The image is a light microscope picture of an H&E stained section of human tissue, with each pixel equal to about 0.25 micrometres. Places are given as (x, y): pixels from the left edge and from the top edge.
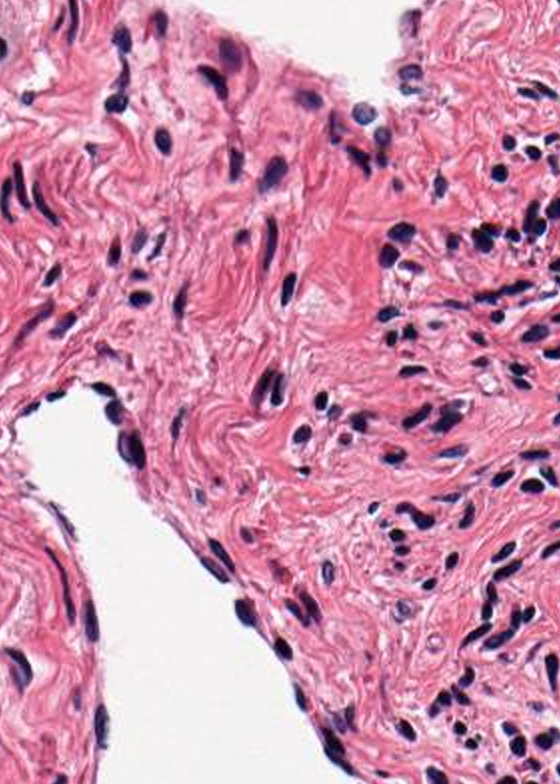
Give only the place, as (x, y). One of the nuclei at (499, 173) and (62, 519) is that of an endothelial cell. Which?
(62, 519)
